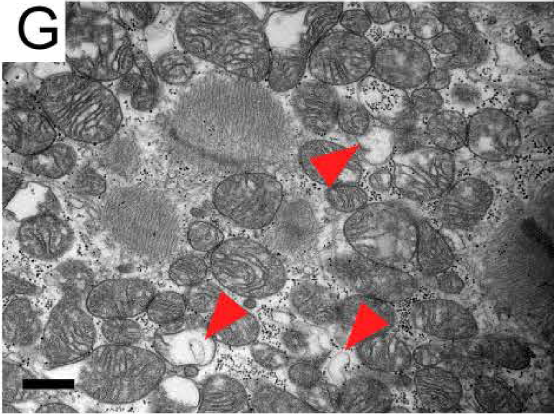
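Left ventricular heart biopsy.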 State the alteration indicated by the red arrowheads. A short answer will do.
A: mitochondrial degradation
